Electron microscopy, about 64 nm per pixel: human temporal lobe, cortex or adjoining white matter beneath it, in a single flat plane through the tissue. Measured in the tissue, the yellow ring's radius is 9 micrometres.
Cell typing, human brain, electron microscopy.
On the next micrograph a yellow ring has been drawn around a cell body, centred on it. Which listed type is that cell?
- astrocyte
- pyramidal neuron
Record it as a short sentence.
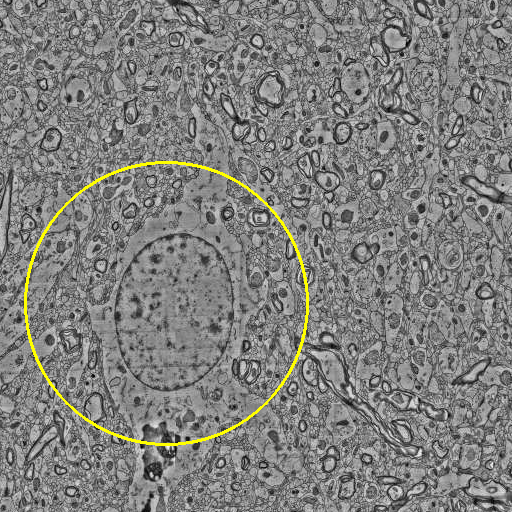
The cell body in the ring's centre belongs to an astrocyte.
